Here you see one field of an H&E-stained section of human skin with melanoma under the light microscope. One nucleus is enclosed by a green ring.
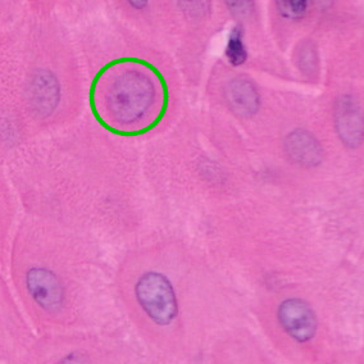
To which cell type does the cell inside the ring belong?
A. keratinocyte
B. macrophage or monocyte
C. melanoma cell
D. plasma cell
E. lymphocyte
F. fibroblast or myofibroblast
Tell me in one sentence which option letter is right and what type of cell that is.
Option A names the cell inside the ring correctly as a keratinocyte.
